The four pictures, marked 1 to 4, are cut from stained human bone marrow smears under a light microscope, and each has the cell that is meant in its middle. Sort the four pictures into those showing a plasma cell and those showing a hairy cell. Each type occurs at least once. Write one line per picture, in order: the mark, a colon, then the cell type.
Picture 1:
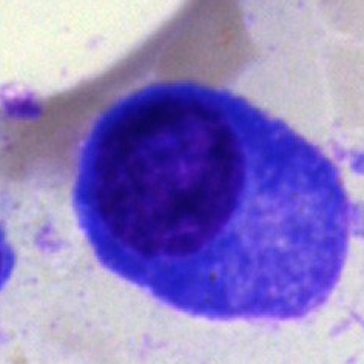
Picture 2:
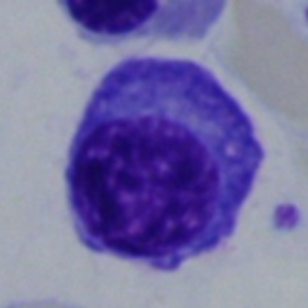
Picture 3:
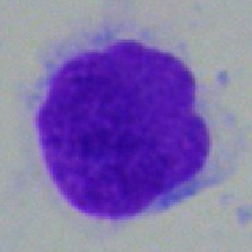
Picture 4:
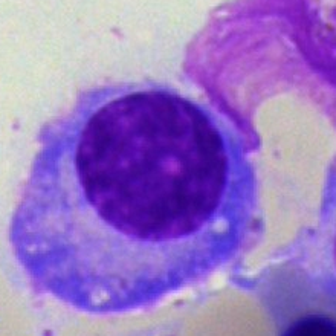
1: plasma cell
2: plasma cell
3: hairy cell
4: plasma cell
